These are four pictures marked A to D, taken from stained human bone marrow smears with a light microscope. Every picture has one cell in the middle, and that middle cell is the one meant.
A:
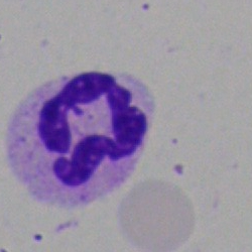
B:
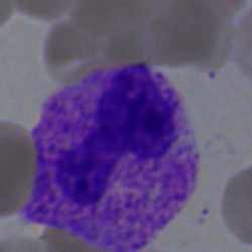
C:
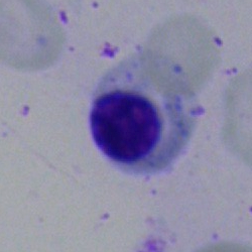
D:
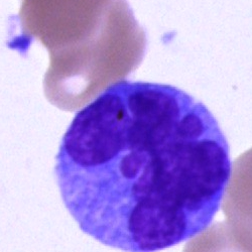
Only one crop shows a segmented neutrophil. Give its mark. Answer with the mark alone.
A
